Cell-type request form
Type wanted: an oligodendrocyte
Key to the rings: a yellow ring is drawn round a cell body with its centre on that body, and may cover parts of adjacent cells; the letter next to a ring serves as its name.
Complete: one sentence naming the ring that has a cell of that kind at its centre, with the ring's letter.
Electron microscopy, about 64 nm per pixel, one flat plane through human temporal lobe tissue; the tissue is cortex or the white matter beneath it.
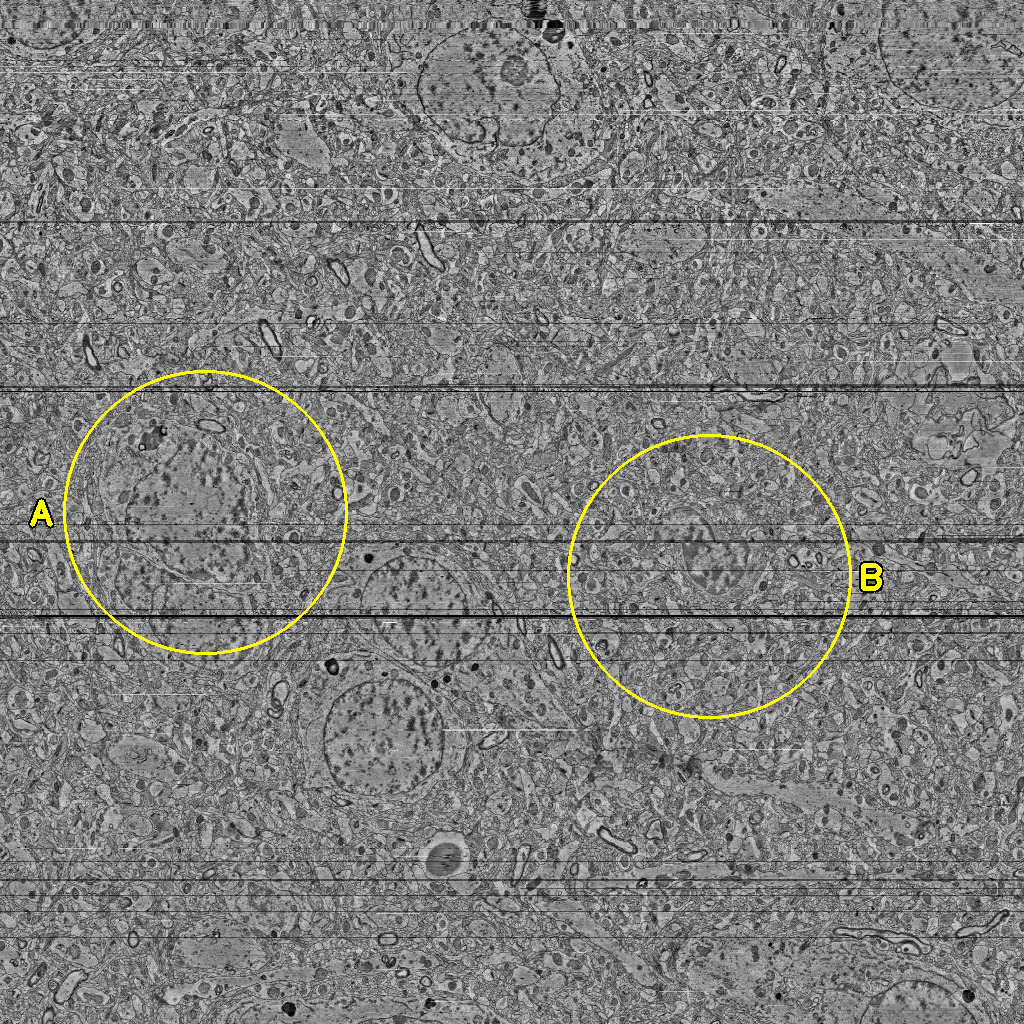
A cell of that kind sits at the centre of the ring labelled B.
